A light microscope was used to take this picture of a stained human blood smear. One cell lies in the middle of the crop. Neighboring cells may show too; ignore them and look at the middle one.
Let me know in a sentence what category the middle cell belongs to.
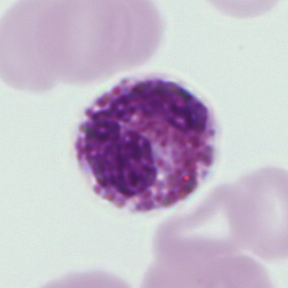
Here the centrally located cell is an eosinophil.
